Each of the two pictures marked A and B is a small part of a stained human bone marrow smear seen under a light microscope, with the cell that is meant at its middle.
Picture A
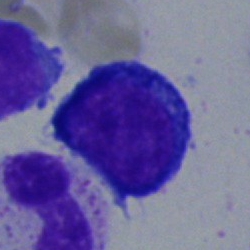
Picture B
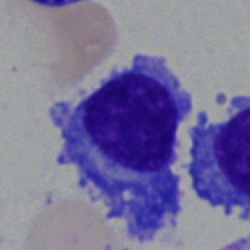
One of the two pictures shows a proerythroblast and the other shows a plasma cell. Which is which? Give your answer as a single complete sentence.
It is picture A that shows a proerythroblast, and picture B that shows a plasma cell.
